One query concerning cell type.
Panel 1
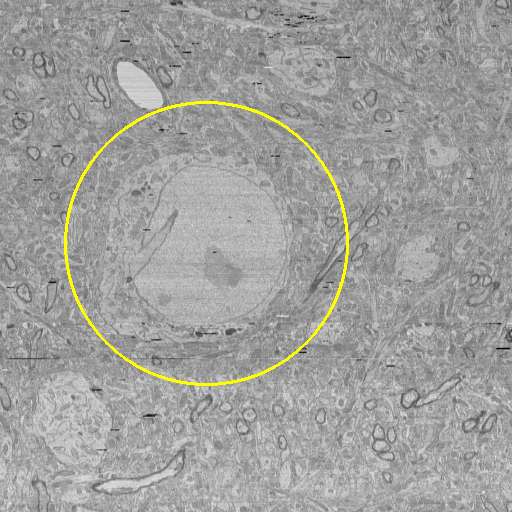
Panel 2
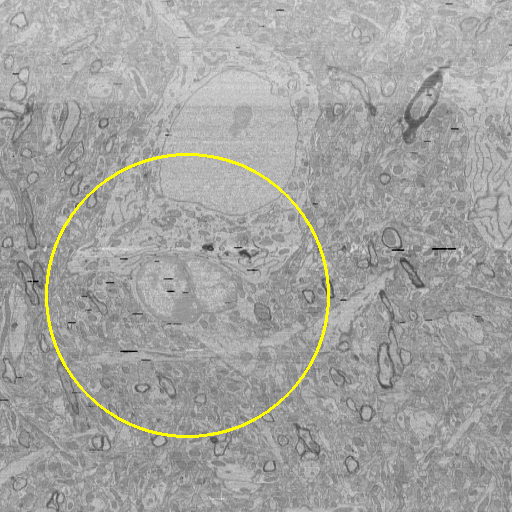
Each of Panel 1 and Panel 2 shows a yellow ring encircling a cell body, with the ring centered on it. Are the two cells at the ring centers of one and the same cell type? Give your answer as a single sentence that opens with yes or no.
No, the cell centered in Panel 1 and the one in Panel 2 are of two types.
